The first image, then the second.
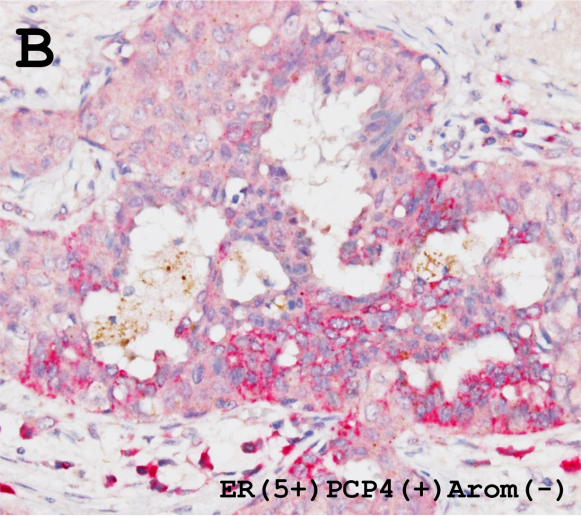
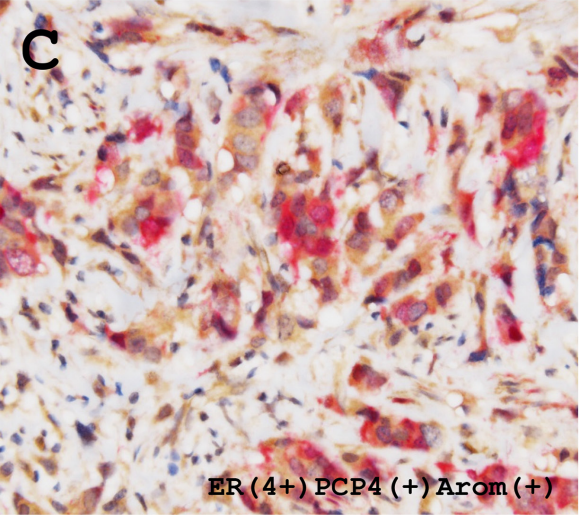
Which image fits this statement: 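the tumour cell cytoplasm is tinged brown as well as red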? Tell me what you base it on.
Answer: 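The second image. Second image: tumour cells show brown cytoplasm with red areas. First image: tumour cell cytoplasm is pink to red on a bluish background without brown tinge.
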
